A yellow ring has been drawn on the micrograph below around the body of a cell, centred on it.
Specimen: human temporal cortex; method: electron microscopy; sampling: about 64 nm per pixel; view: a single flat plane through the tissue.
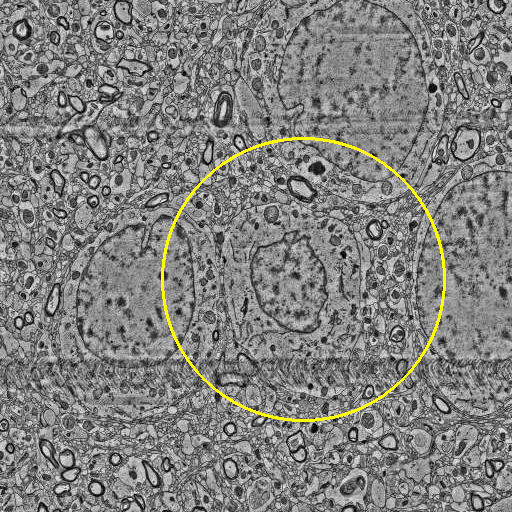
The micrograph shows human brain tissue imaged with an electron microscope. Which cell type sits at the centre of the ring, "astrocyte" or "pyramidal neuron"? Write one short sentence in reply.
The cell sitting at the centre of the ring is a pyramidal neuron.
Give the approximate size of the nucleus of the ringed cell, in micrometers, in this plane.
Roughly 6 by 5 micrometres is the size of the nucleus in this plane.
